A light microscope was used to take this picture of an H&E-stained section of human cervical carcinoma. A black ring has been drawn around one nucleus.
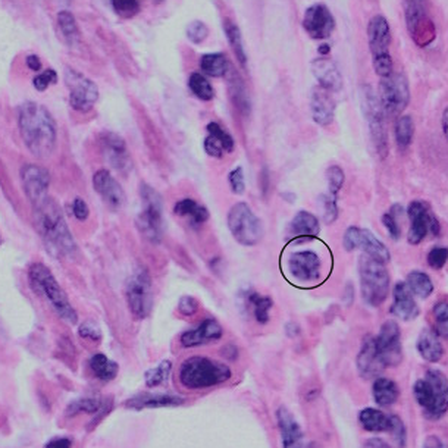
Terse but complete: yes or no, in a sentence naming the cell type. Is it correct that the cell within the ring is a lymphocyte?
Yes, the cell within the ring corresponds to a lymphocyte in this tissue.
